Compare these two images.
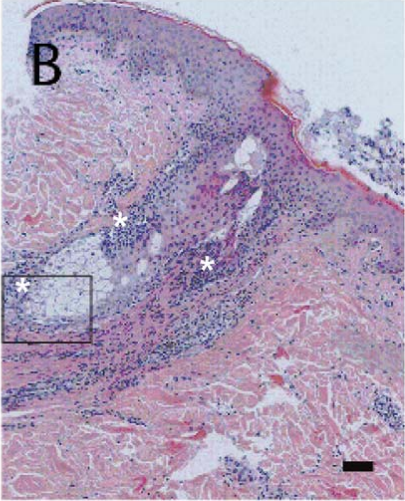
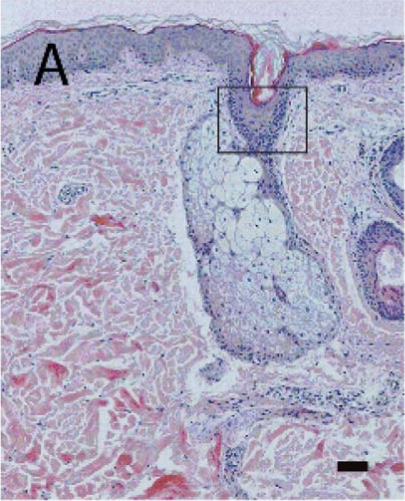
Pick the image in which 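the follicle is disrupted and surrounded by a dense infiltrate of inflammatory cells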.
the first image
